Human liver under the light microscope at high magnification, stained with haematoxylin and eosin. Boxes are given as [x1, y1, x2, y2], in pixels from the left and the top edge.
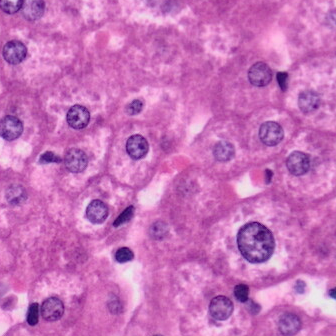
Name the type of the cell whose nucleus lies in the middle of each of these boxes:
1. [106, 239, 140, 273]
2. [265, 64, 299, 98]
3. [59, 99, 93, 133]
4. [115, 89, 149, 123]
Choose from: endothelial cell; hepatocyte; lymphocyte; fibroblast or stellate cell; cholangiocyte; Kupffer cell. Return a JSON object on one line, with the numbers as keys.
{"1": "lymphocyte", "2": "fibroblast or stellate cell", "3": "hepatocyte", "4": "lymphocyte"}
